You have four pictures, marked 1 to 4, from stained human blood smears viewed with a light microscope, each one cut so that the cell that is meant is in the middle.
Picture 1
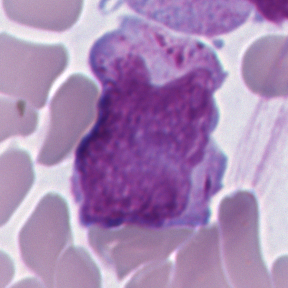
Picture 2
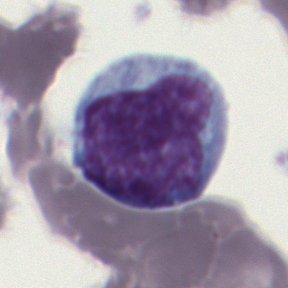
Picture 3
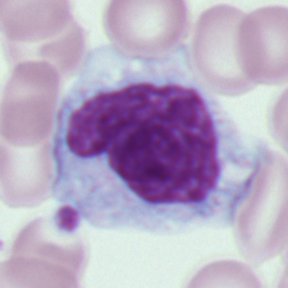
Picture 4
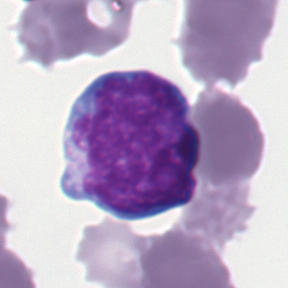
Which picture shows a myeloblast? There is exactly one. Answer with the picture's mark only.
4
